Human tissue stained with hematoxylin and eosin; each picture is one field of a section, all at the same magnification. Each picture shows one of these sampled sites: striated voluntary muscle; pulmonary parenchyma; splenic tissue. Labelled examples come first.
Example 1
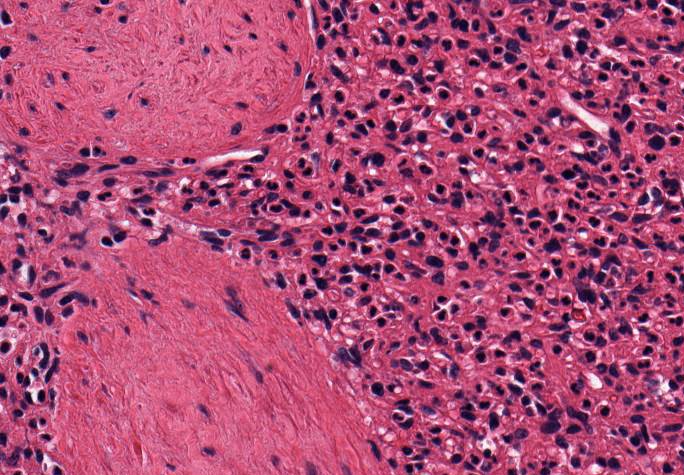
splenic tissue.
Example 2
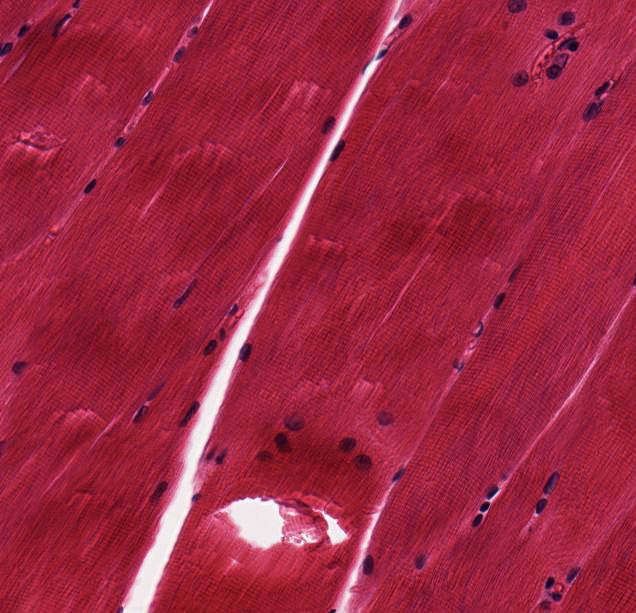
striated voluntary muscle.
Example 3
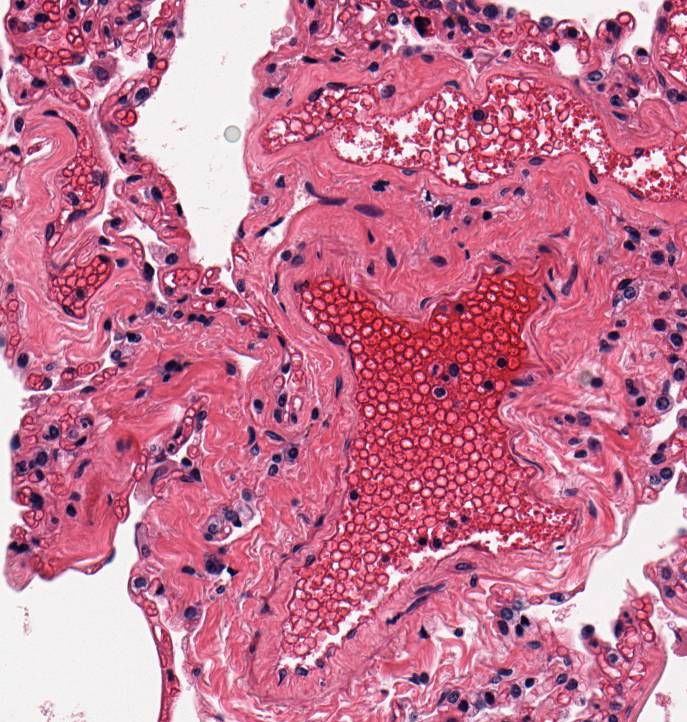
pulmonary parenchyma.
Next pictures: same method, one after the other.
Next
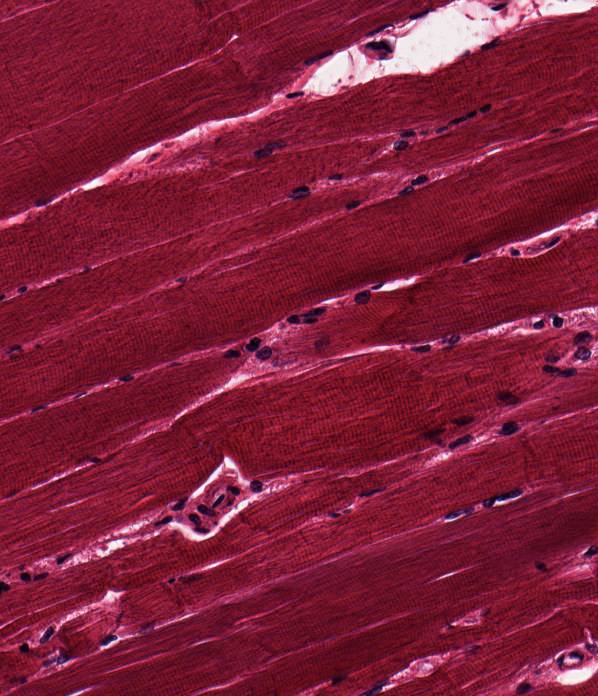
striated voluntary muscle.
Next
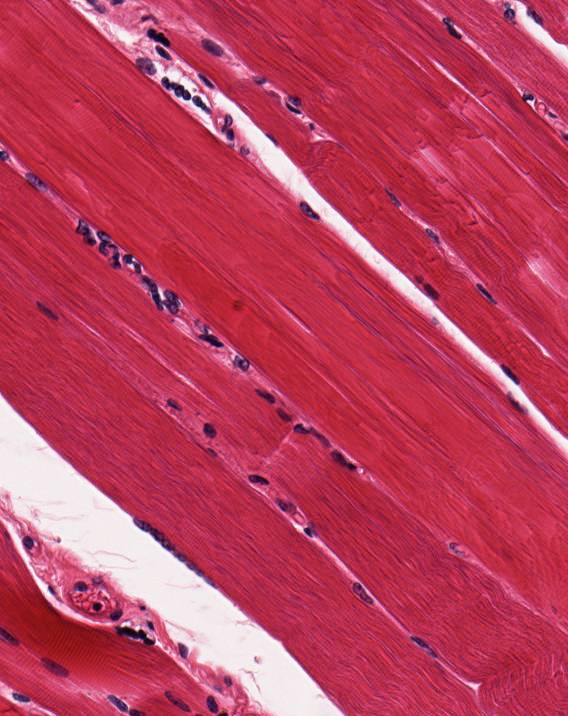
striated voluntary muscle.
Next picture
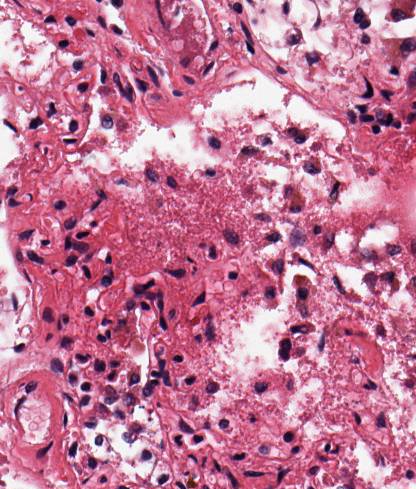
pulmonary parenchyma.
